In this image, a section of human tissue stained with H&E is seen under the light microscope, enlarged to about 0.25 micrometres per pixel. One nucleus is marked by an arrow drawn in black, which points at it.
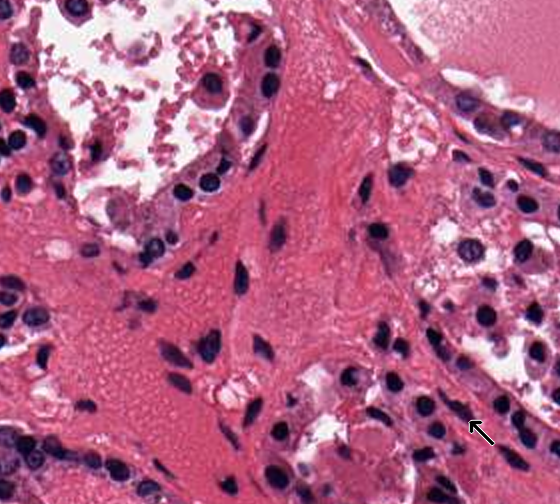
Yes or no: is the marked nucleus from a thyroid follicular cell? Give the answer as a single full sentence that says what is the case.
No, the marked nucleus is held by a supporting cell and not by a thyroid follicular cell.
